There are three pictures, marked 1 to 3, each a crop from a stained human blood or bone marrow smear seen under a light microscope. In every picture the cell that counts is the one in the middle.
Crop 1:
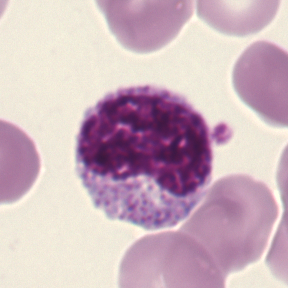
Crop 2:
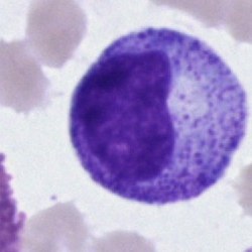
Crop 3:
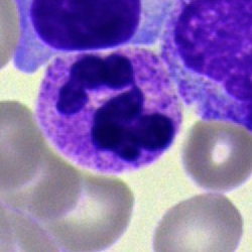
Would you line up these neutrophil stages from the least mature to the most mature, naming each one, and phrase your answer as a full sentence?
The maturity ranking, beginning with the least mature, is crop 2 (a promyelocyte), crop 1 (a metamyelocyte) and crop 3 (a segmented neutrophil).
